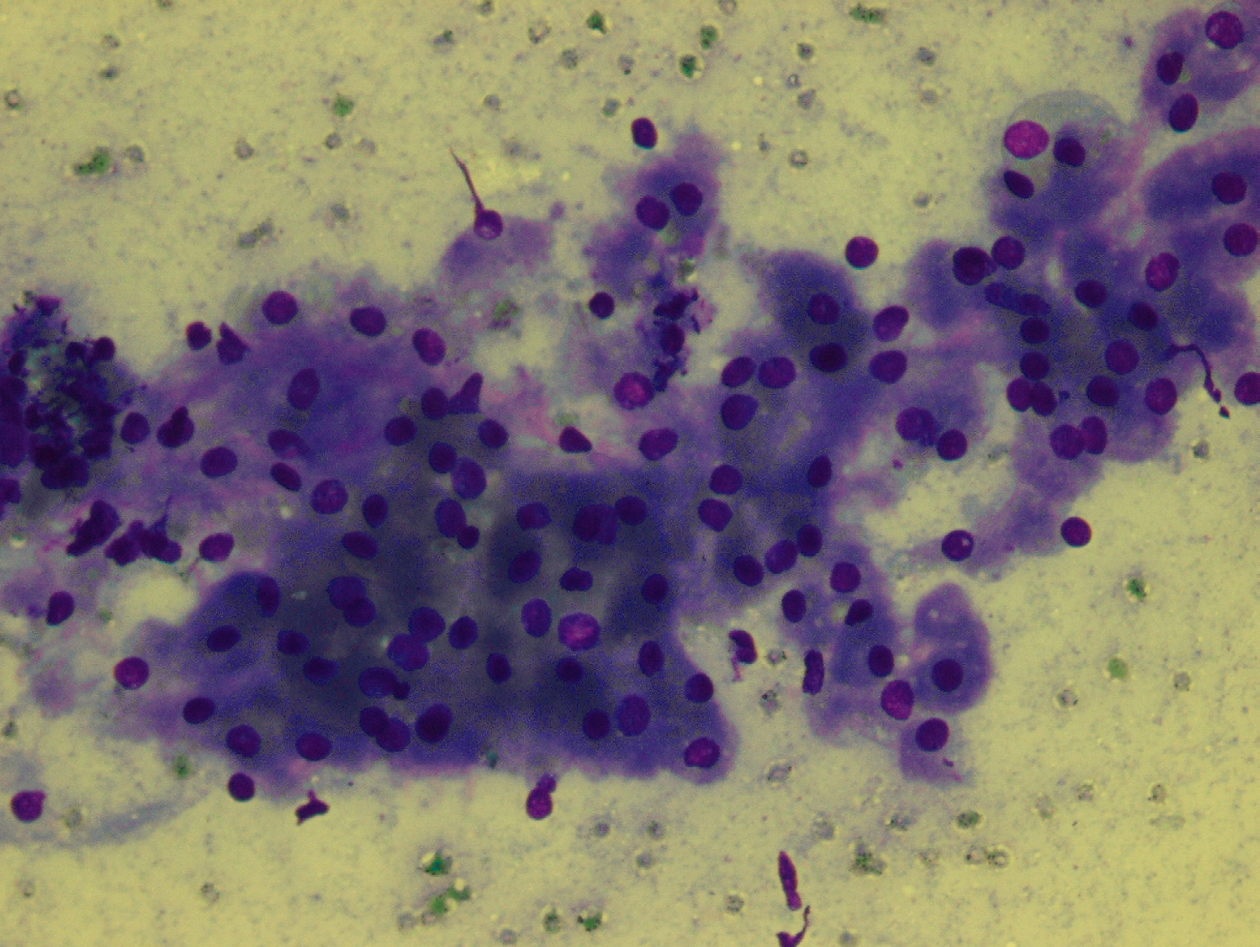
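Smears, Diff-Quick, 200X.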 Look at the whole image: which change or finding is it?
Loosely cohesive polygonal cells with small, round, dark nuclei and granular cytoplasm.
